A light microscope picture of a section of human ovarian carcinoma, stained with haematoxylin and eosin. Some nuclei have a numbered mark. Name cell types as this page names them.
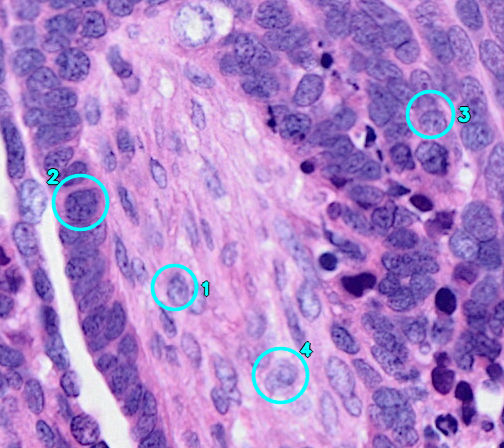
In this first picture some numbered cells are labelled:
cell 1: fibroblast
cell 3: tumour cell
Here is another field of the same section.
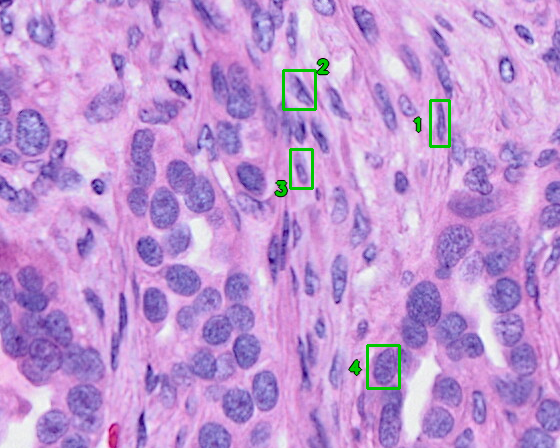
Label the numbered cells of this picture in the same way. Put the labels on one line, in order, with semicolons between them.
fibroblast; fibroblast; fibroblast; tumour cell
